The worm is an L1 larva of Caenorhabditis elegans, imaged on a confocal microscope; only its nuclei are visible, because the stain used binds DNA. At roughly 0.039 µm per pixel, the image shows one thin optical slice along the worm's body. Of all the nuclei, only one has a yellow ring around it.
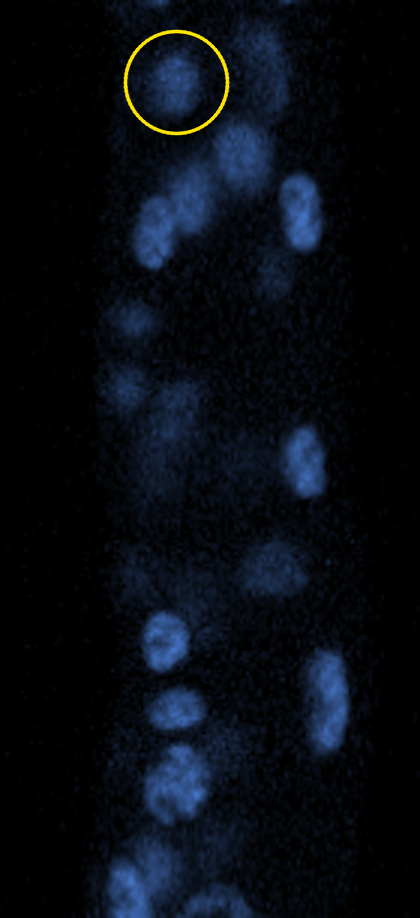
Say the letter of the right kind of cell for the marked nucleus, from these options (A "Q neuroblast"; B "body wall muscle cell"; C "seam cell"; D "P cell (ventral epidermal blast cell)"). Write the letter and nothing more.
D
